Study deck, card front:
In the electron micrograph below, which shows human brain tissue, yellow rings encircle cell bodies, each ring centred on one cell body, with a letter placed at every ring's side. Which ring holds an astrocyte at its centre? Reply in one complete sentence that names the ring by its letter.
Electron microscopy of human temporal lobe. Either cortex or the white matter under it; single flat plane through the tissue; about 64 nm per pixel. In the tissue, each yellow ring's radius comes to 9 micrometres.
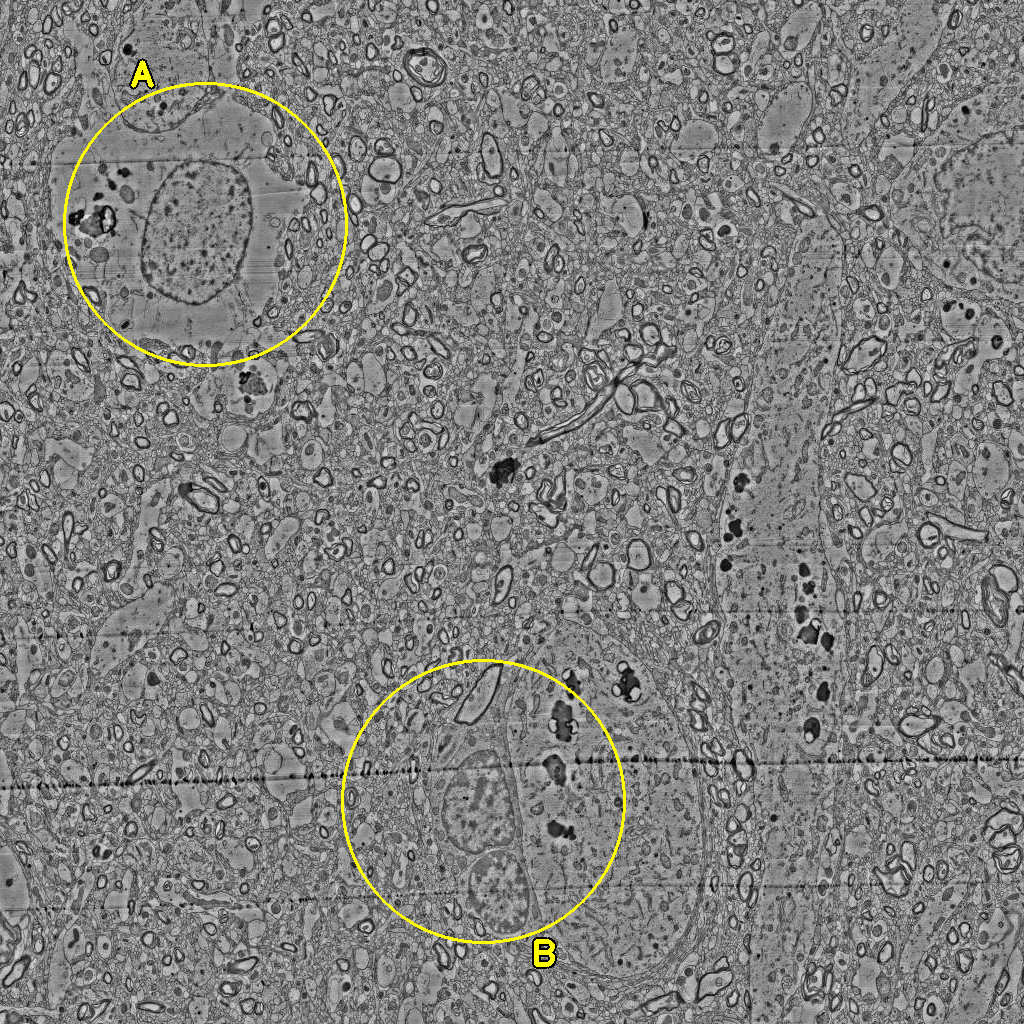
The cell asked for sits at the centre of ring A in the picture.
